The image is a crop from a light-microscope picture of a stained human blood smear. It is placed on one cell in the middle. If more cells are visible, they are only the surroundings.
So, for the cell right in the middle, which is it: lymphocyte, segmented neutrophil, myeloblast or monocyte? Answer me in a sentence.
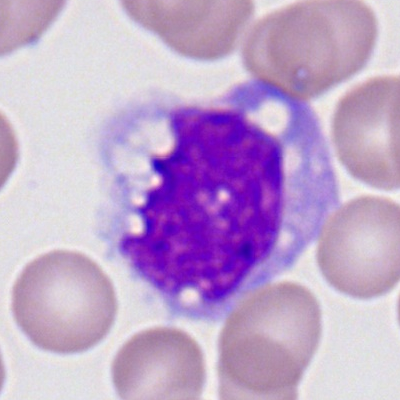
What sits at the centre of this crop is a monocyte.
